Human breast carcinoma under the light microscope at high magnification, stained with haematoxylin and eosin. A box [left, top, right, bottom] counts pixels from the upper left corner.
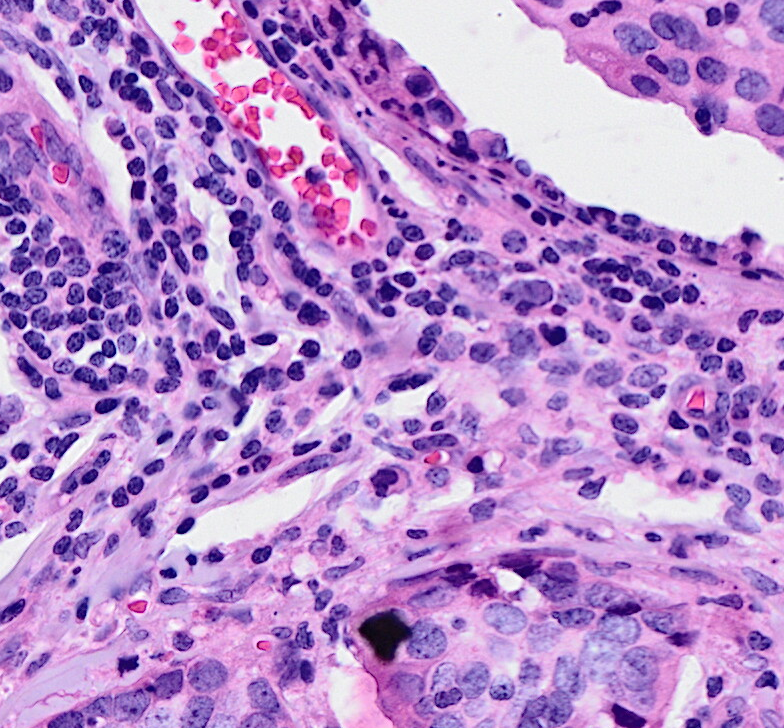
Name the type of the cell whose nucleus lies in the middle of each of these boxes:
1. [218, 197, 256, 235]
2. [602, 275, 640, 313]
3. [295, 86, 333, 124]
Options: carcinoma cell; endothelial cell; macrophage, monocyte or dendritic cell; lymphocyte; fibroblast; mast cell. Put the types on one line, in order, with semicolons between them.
lymphocyte; lymphocyte; endothelial cell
